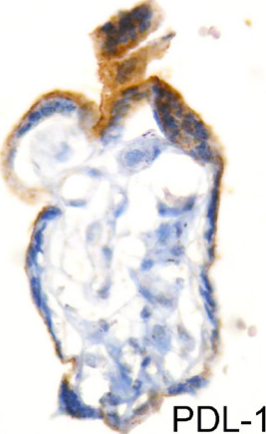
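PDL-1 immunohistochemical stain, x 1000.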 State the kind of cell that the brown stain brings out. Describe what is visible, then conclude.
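Brown stain lies along the outer cell layer of a villus. The loose inner core is blue, without brown. On this evidence: trophoblastic cells of the surface lining.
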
